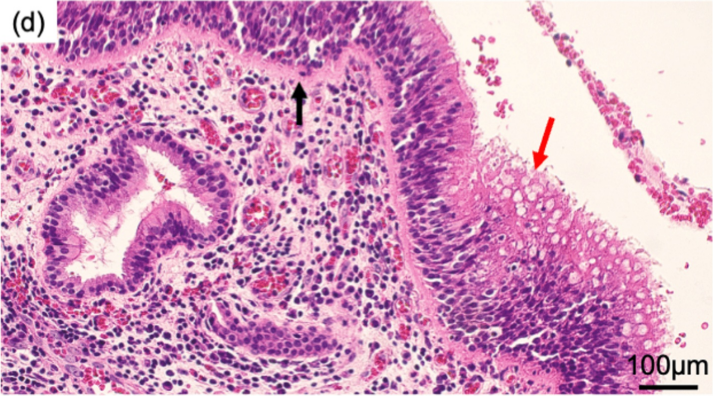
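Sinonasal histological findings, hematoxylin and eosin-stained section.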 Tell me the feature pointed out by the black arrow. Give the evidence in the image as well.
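The black arrow points to a continuous pink, glassy band lying directly beneath the surface epithelium. The band separates the purple-nucleated epithelial layer from the underlying cellular connective tissue.
Hence: basement membrane.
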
